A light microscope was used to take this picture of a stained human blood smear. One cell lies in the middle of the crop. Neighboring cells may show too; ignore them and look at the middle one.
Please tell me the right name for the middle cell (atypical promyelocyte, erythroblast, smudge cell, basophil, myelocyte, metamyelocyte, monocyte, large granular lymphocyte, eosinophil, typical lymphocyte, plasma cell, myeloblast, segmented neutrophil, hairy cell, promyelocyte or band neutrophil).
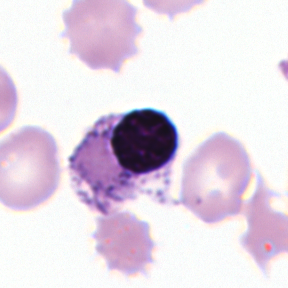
erythroblast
